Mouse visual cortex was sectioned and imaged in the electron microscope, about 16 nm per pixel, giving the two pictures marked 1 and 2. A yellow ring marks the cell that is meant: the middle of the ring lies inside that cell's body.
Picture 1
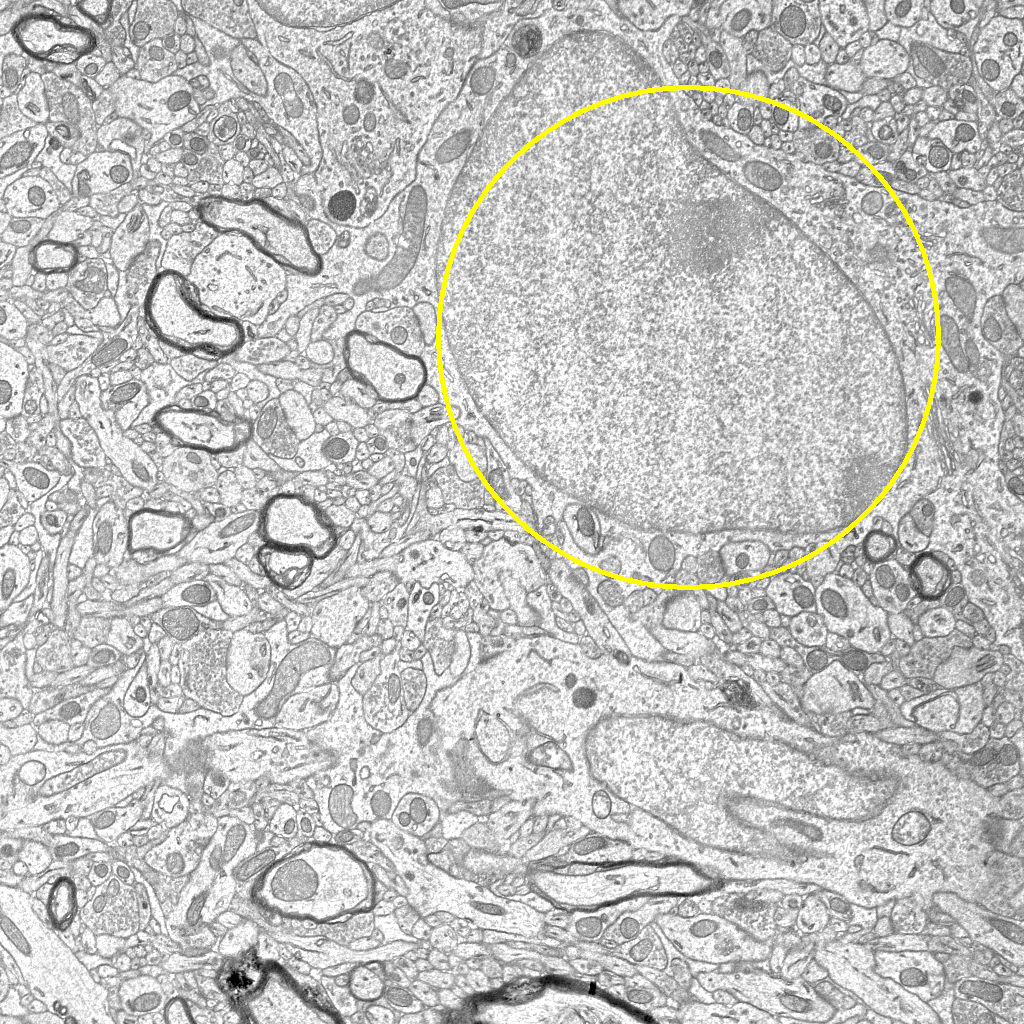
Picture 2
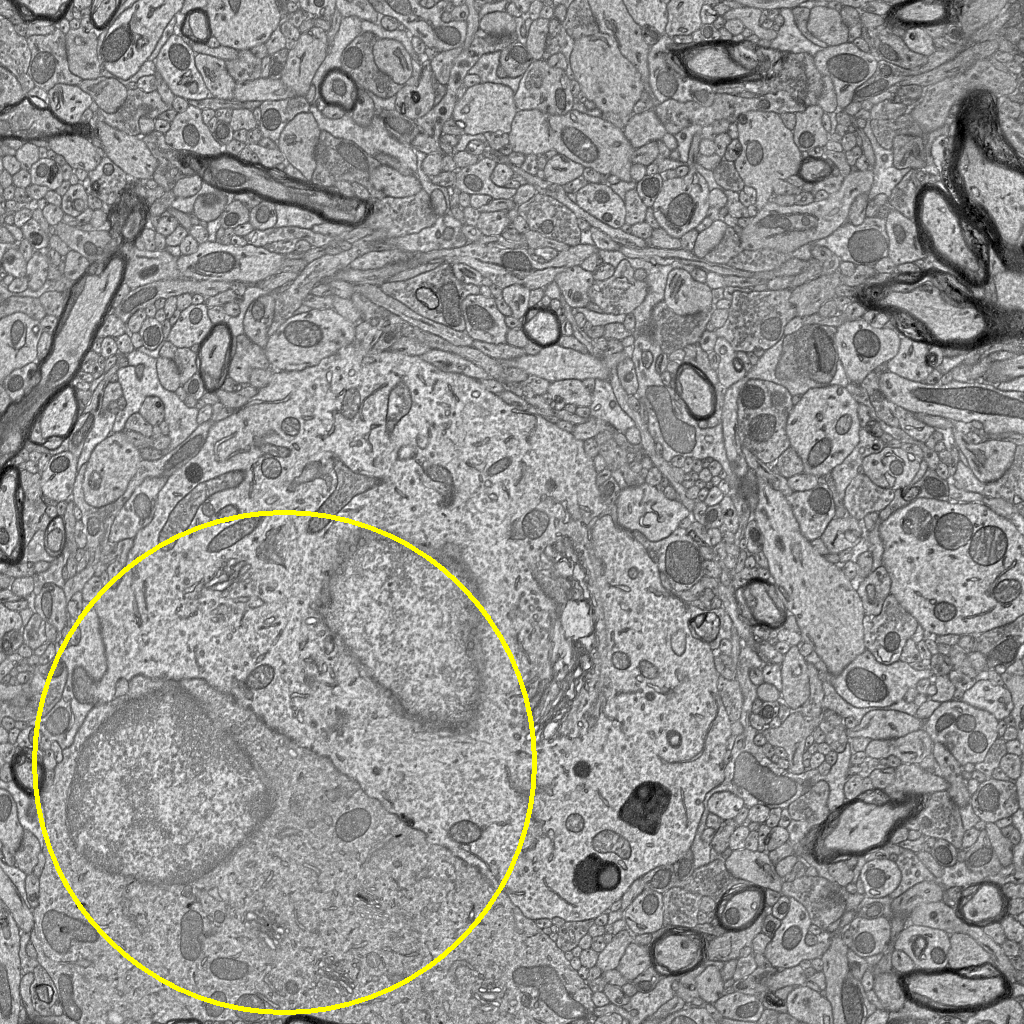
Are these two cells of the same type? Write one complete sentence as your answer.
No, picture 1 shows an astrocyte and picture 2 shows an oligodendrocyte.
